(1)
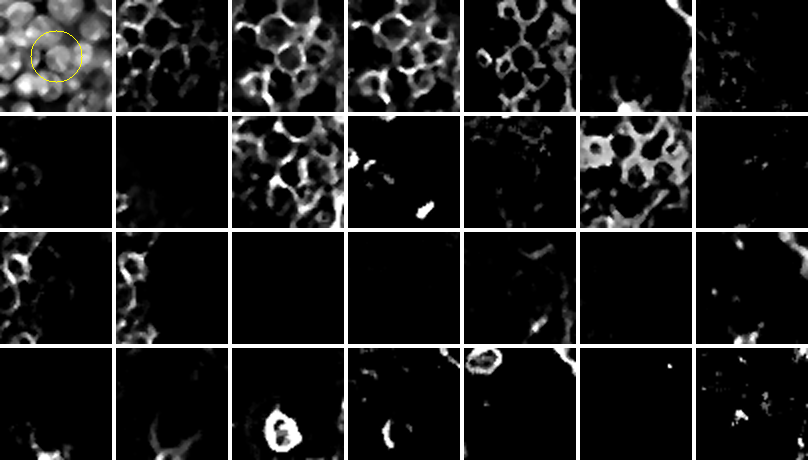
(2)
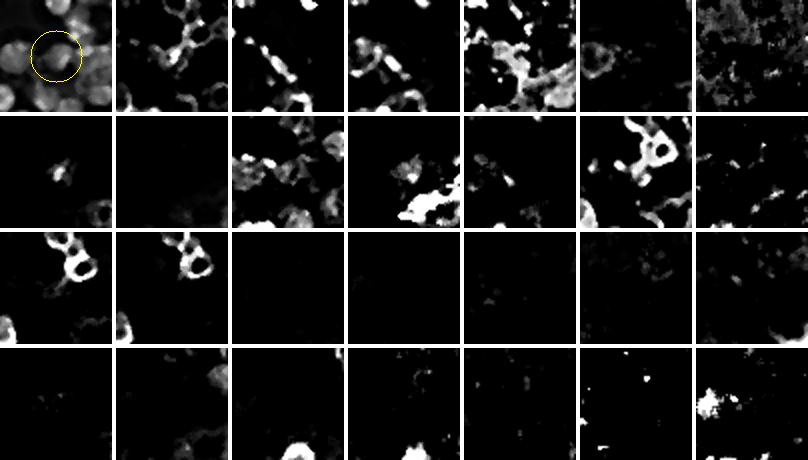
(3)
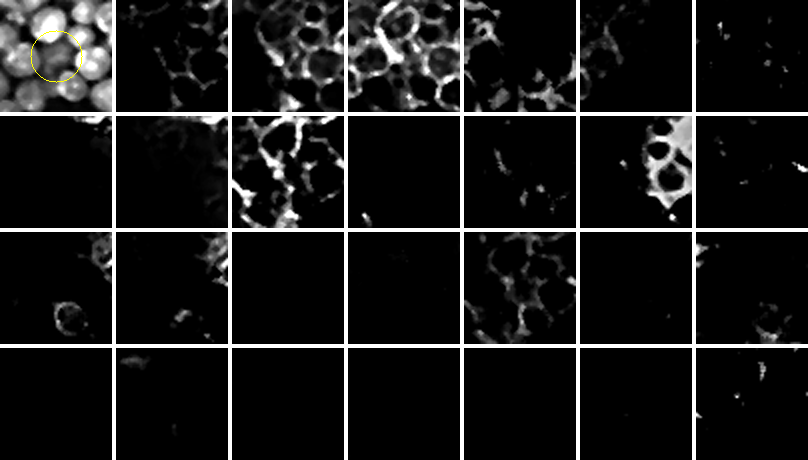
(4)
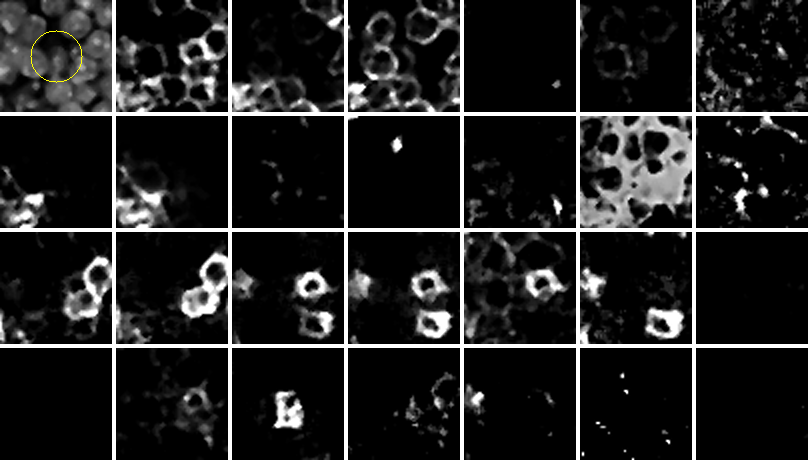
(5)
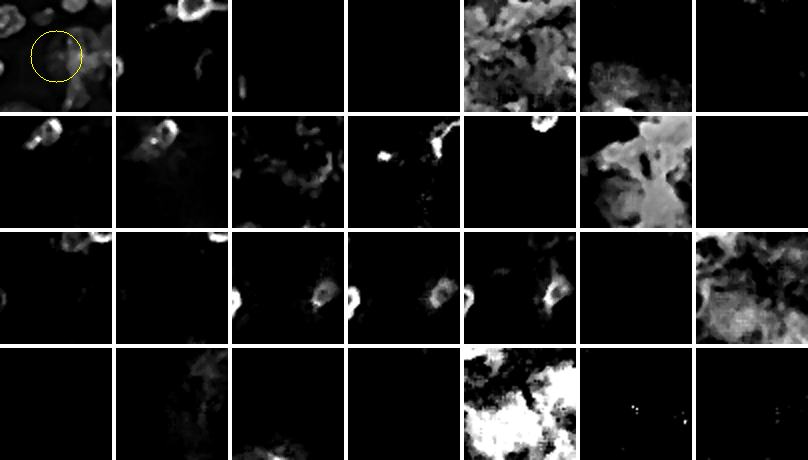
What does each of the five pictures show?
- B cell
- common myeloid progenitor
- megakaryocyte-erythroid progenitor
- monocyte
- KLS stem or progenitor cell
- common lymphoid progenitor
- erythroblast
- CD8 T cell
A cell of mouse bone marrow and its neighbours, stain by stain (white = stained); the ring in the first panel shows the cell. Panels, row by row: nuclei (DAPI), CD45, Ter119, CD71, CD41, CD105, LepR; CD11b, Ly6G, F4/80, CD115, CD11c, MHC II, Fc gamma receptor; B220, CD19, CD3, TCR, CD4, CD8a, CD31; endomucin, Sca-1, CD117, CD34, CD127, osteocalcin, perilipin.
1: erythroblast
2: monocyte
3: erythroblast
4: megakaryocyte-erythroid progenitor
5: common lymphoid progenitor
